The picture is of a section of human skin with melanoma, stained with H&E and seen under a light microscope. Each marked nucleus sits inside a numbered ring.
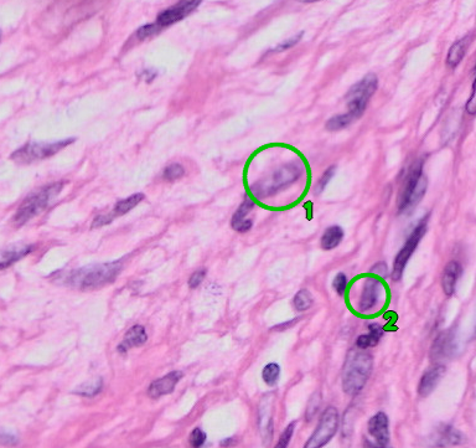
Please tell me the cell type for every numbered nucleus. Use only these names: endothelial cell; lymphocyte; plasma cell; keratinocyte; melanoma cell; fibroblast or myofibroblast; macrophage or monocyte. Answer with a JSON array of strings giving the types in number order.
["fibroblast or myofibroblast", "endothelial cell"]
